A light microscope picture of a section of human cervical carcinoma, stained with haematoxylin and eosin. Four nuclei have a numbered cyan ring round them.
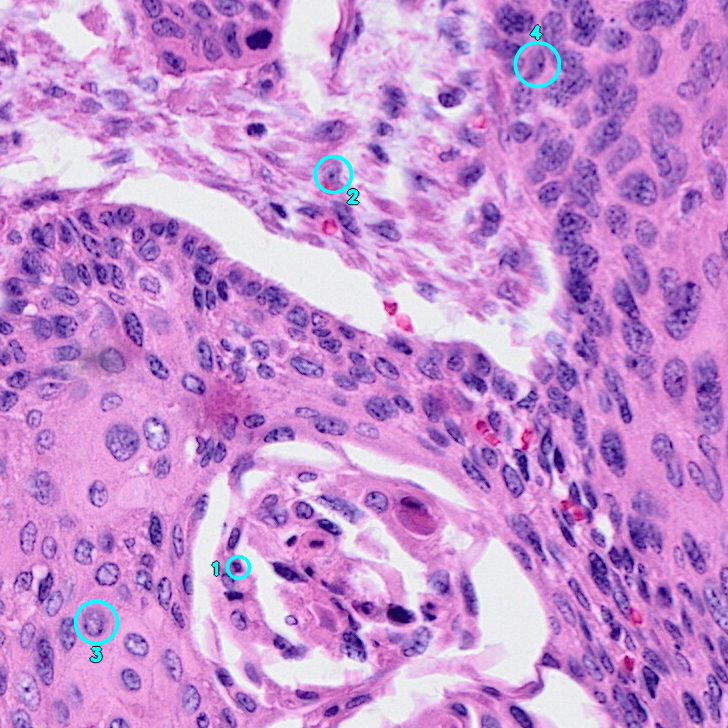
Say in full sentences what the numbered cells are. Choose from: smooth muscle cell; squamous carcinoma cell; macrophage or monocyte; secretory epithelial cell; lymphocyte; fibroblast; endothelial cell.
Cells 1, 3 and 4 are squamous carcinoma cells. Cell 2 is an endothelial cell.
